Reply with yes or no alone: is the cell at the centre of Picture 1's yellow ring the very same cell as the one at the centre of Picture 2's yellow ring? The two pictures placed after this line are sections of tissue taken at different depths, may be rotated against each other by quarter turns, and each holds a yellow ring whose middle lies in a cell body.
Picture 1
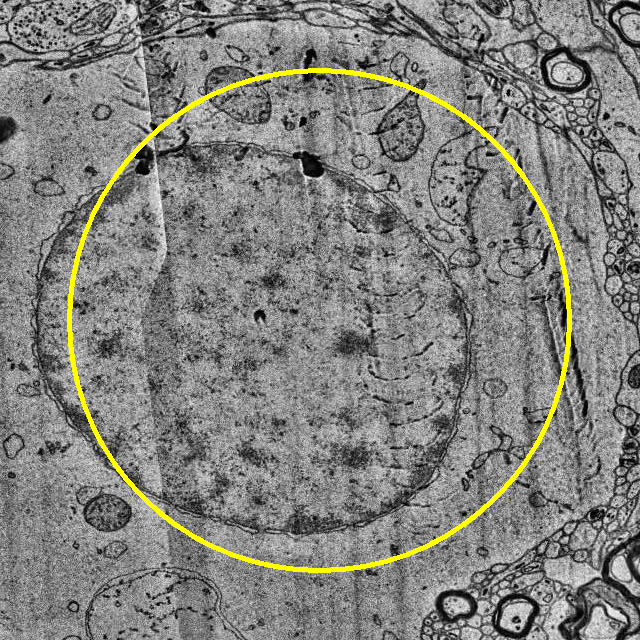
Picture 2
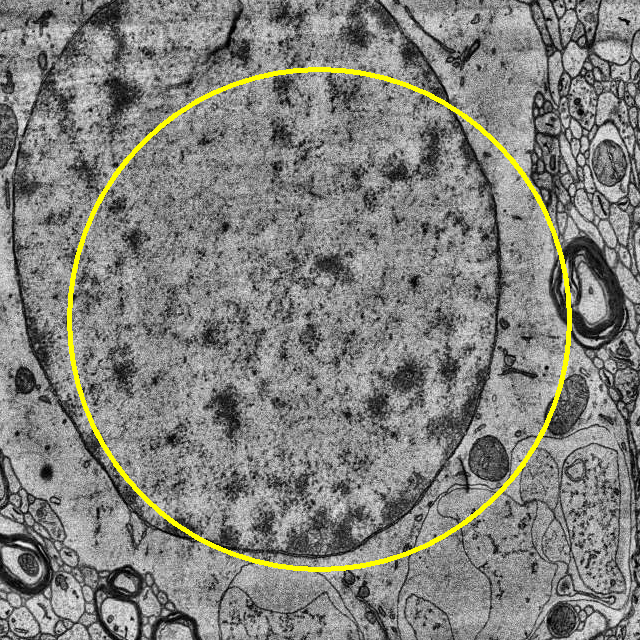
no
